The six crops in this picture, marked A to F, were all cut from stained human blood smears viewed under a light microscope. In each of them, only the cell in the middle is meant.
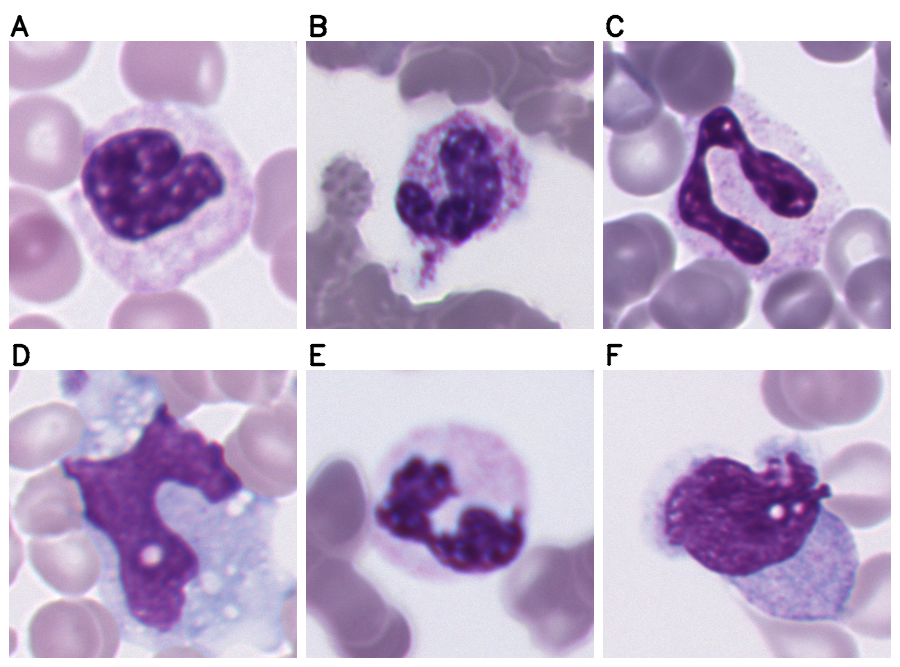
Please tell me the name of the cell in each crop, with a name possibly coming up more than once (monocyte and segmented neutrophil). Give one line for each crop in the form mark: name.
A: segmented neutrophil
B: segmented neutrophil
C: segmented neutrophil
D: monocyte
E: segmented neutrophil
F: monocyte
